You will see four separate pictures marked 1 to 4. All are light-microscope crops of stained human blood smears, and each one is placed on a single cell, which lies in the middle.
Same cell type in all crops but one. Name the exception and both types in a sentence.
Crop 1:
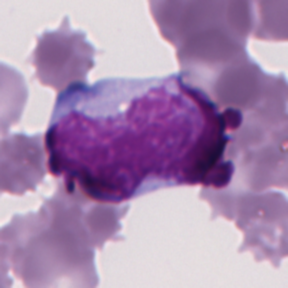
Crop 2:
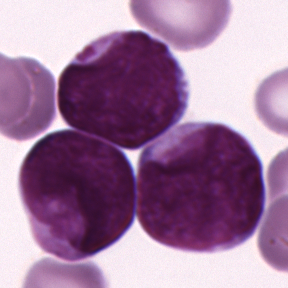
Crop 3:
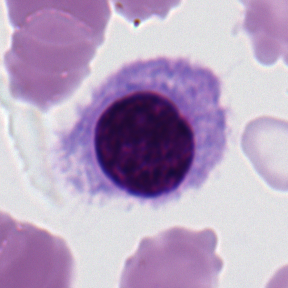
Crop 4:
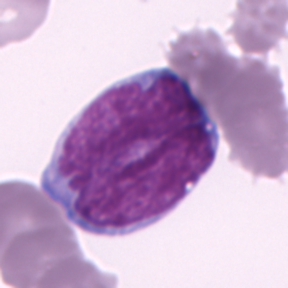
The crop that differs is crop 3, showing a hairy cell; the others show myeloblasts.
